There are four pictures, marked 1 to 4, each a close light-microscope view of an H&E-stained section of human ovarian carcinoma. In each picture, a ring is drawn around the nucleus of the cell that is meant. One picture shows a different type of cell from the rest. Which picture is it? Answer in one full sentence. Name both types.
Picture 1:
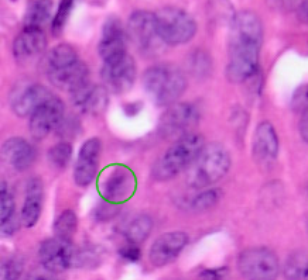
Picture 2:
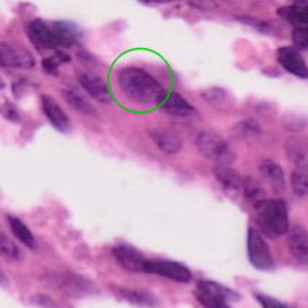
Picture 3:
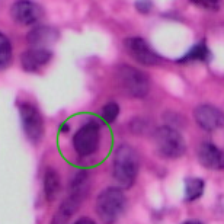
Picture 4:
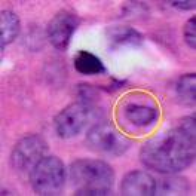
The others show carcinoma cells, but picture 4 shows a “macrophage or monocyte”.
